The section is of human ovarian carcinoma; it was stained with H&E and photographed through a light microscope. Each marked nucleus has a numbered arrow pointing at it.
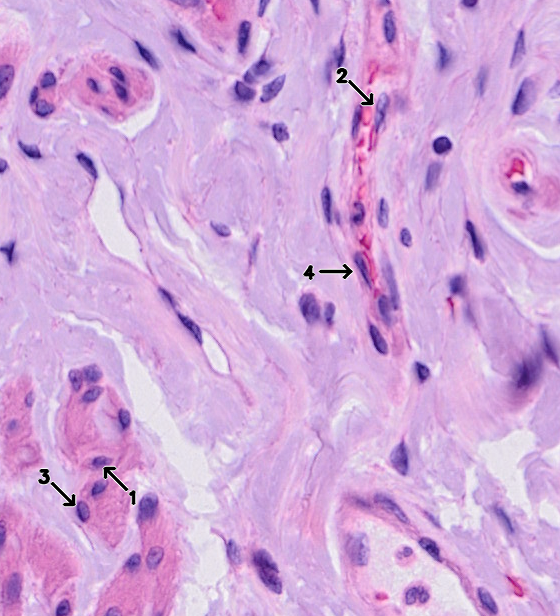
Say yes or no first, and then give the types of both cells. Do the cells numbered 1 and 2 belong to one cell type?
No, cell 1 is interpreted as a smooth muscle cell, and cell 2 is interpreted as an endothelial cell.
